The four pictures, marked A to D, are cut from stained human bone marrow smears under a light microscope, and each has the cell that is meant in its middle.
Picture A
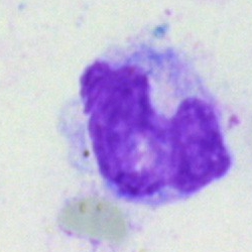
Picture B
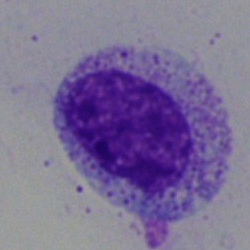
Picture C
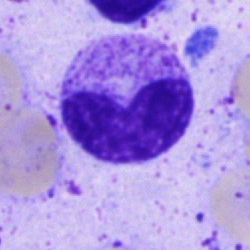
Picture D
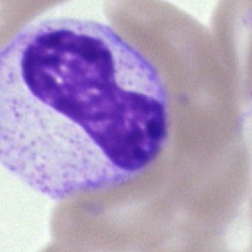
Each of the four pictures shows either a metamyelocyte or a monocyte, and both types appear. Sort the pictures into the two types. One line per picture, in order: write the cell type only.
monocyte
metamyelocyte
metamyelocyte
metamyelocyte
